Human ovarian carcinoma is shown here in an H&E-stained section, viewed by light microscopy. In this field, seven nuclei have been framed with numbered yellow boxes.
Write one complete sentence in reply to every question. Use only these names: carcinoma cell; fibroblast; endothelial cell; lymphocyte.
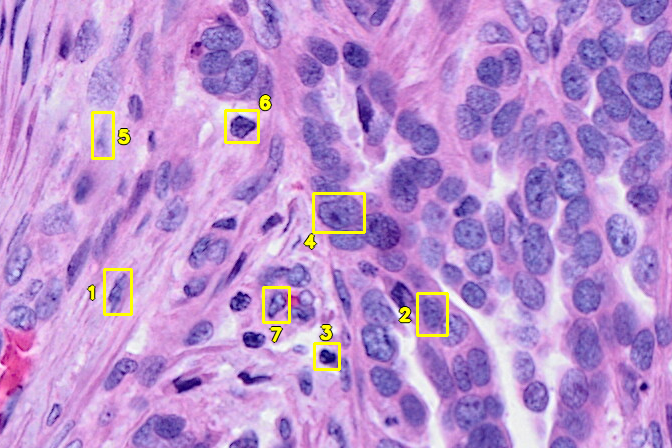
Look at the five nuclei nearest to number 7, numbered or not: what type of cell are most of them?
The majority of the five nuclei closest to number 7 belong to endothelial cells.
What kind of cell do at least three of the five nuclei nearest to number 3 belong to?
Around number 3, most of the five nearest nuclei are those of fibroblasts.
